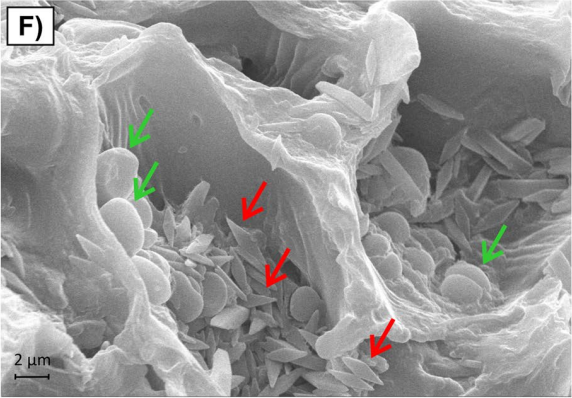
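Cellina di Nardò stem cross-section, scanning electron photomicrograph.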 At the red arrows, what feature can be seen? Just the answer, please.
Crystals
